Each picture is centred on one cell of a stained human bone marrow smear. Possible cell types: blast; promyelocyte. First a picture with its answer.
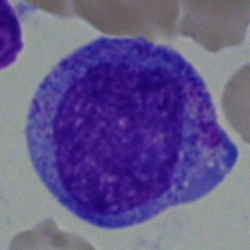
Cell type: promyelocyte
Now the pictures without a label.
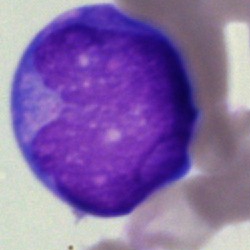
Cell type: blast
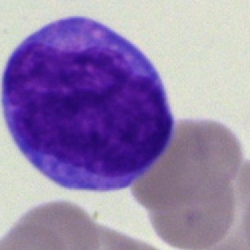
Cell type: blast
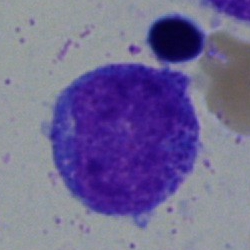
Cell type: promyelocyte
